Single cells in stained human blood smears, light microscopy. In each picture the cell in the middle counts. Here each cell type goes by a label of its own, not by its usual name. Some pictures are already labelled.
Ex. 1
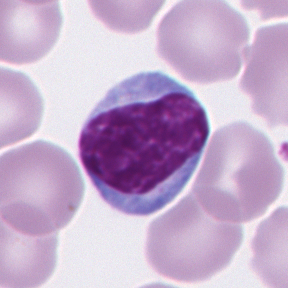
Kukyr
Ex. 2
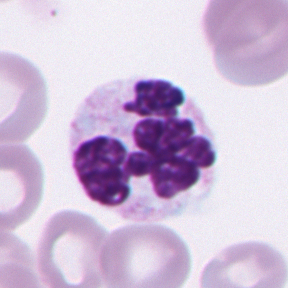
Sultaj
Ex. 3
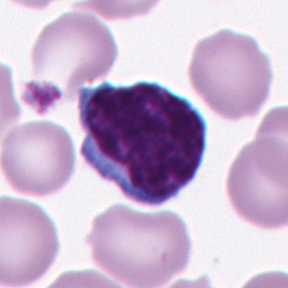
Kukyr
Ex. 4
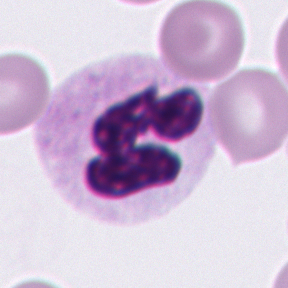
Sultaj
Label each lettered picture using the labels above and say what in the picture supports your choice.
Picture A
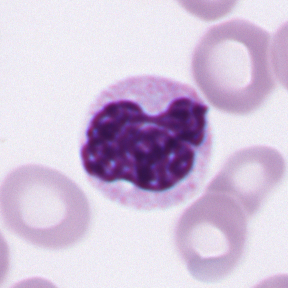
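Label: Sultaj. The cytoplasm is pale pink.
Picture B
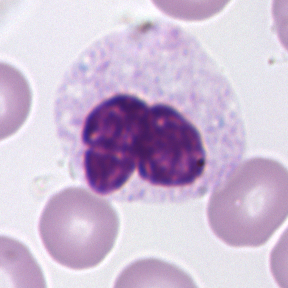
Label: Sultaj. The cytoplasm is abundant and pale lilac.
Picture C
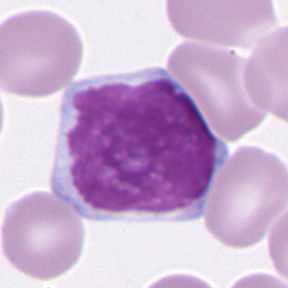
Label: Kukyr. The cytoplasm forms only a narrow pale blue rim around the nucleus.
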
